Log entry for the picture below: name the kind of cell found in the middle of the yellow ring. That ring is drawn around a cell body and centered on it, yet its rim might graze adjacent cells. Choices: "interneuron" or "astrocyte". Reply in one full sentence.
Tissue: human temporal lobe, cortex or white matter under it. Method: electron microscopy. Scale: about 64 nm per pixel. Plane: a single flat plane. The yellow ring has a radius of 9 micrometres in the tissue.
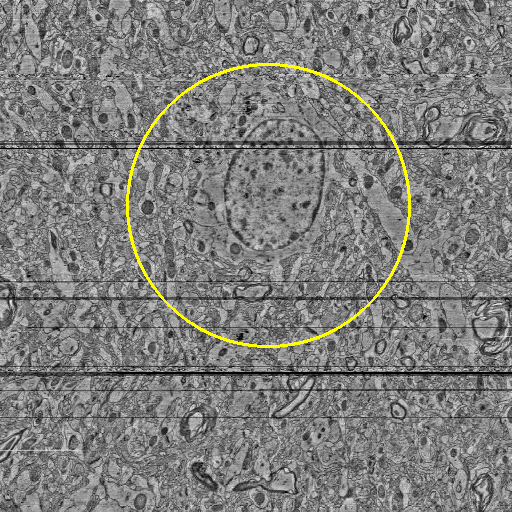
The cell in the middle of the yellow ring in this picture is an astrocyte.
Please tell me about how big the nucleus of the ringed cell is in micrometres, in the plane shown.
In this plane the nucleus is about 9 micrometres by 6.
